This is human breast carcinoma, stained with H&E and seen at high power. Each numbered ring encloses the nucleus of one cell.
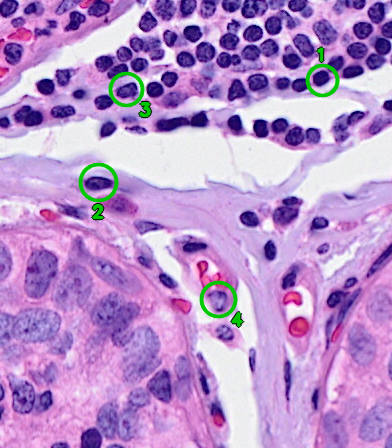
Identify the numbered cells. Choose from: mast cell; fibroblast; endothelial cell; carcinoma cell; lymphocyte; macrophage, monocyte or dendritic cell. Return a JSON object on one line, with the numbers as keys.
{"1": "lymphocyte", "2": "lymphocyte", "3": "lymphocyte", "4": "endothelial cell"}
